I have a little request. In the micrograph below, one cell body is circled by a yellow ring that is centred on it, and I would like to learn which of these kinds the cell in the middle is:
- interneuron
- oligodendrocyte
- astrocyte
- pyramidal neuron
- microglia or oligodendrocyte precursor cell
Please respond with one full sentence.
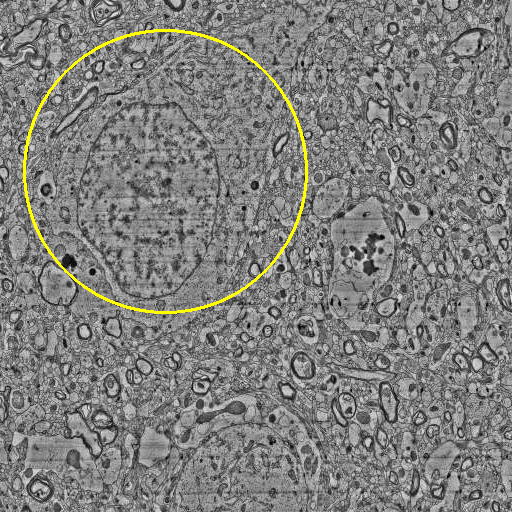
The cell sitting in the middle of the yellow ring in the micrograph is a pyramidal neuron.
